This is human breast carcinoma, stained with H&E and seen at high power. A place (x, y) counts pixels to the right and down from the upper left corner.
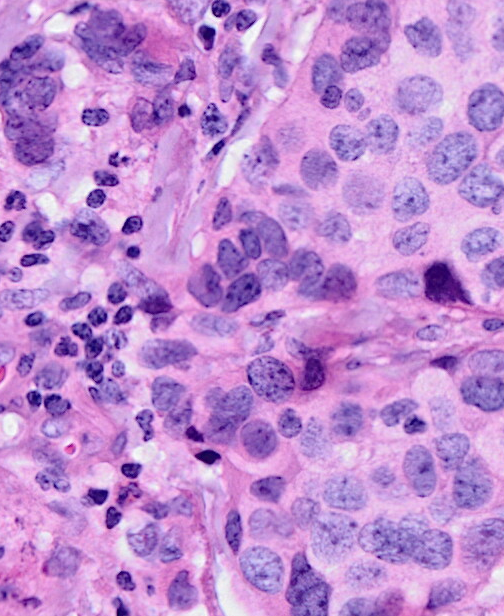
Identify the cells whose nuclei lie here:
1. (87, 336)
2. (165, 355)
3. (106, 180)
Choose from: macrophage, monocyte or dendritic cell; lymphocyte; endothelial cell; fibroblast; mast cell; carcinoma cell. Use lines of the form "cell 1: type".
cell 1: lymphocyte
cell 2: carcinoma cell
cell 3: lymphocyte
